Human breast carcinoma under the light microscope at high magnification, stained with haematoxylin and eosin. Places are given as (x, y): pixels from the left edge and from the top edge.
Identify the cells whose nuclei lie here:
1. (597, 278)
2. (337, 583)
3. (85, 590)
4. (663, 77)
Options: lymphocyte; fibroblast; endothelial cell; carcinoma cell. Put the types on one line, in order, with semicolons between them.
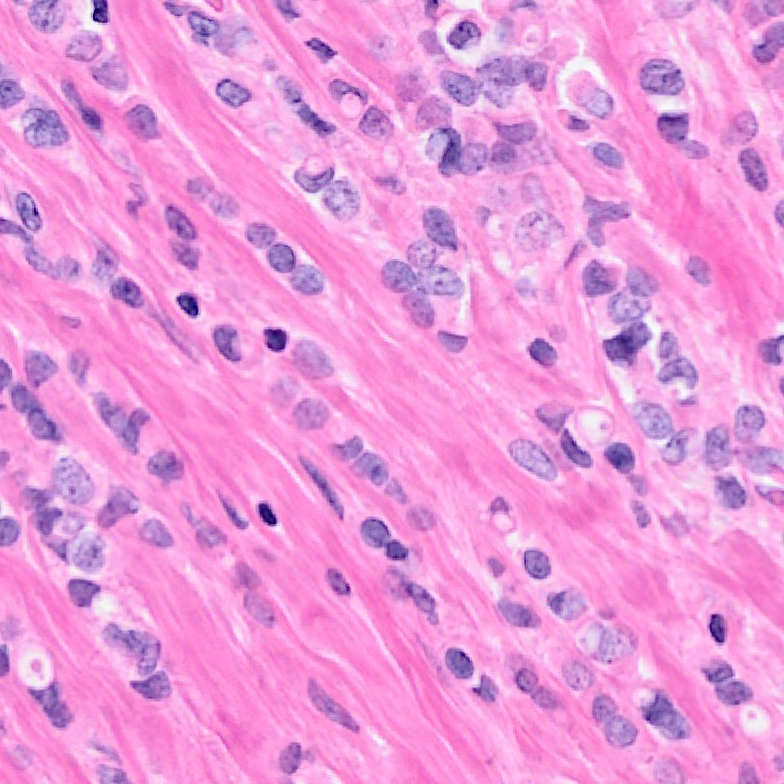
carcinoma cell; lymphocyte; carcinoma cell; carcinoma cell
